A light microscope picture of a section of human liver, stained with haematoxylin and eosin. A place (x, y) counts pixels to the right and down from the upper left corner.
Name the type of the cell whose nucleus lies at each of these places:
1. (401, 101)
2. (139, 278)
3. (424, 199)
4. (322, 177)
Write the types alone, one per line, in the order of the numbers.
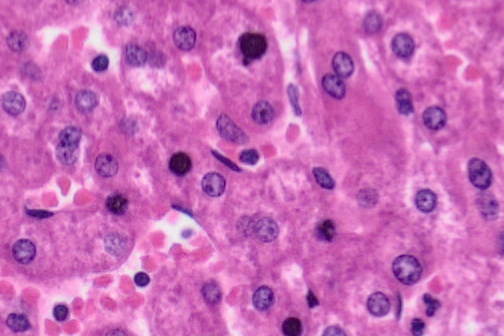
fibroblast or stellate cell
lymphocyte
hepatocyte
fibroblast or stellate cell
